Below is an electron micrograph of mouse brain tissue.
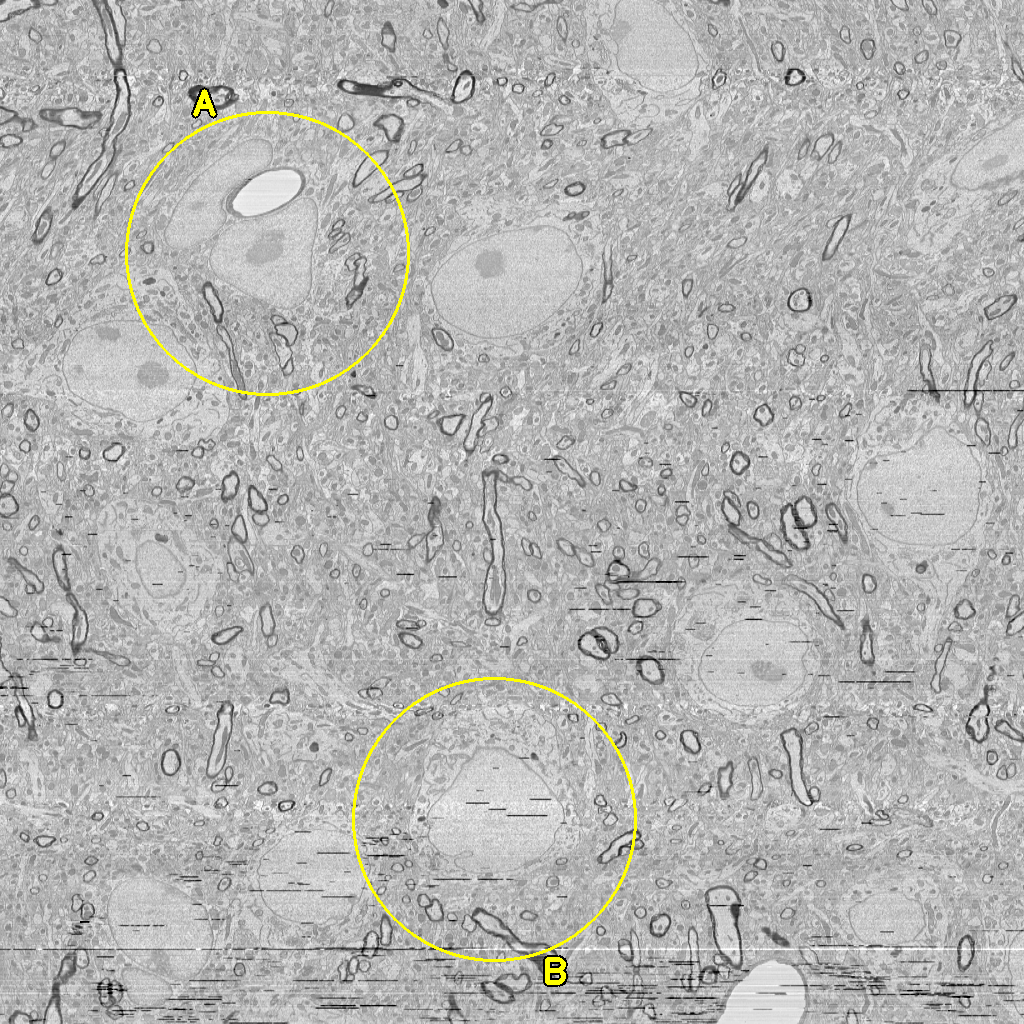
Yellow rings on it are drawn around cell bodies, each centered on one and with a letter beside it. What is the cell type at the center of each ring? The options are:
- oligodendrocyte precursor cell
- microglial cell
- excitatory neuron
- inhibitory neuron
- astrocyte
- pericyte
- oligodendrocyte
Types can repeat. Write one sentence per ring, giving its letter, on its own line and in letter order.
At the center of ring A is an astrocyte.
At the center of ring B is an excitatory neuron.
